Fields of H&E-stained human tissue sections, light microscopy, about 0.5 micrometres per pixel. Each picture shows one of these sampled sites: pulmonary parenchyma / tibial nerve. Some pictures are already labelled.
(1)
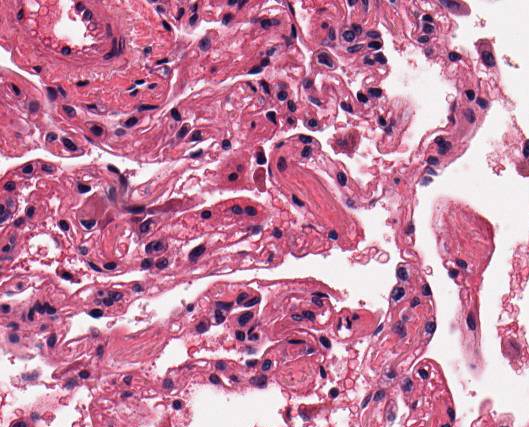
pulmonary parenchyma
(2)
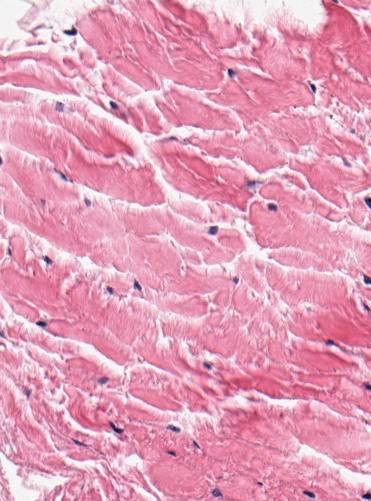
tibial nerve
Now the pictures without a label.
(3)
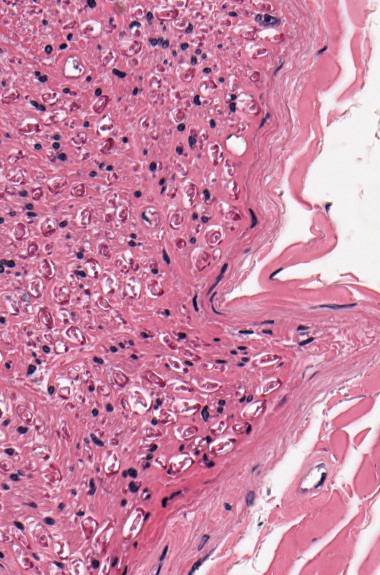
tibial nerve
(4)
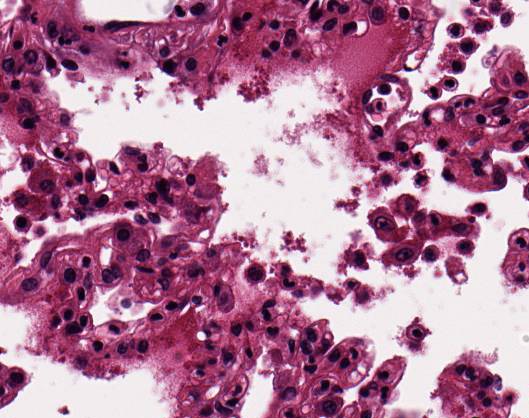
pulmonary parenchyma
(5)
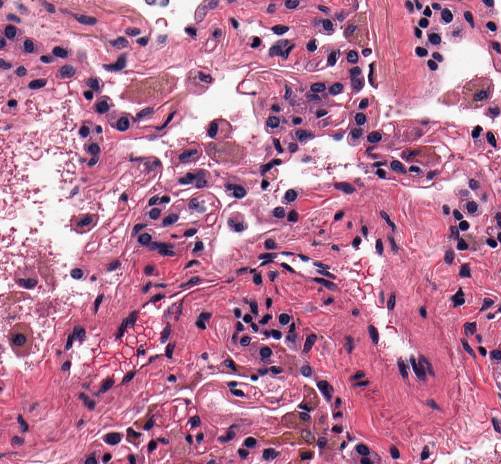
pulmonary parenchyma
